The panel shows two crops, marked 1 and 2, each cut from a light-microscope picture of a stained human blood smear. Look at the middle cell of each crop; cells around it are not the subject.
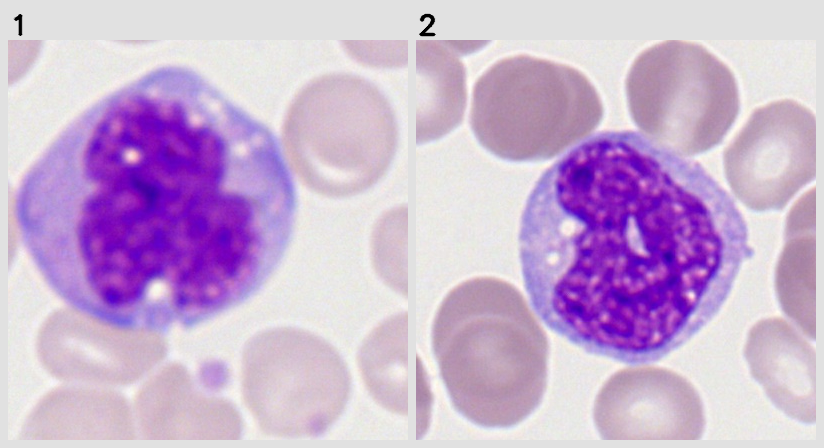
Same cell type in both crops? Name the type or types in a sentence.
Yes, both crops are centred on cells that are monocytes.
